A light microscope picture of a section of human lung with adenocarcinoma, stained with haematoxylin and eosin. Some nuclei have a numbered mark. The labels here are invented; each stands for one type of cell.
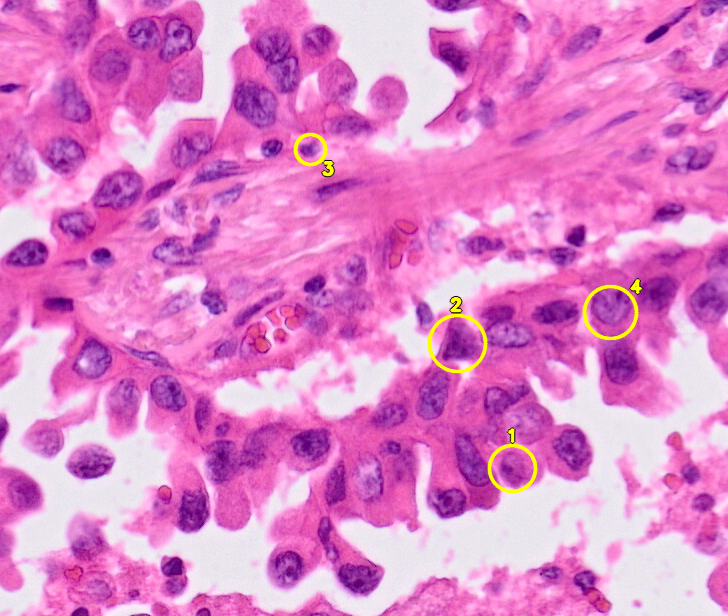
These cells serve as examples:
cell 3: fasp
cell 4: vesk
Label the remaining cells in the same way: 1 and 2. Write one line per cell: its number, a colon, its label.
1: vesk
2: vesk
